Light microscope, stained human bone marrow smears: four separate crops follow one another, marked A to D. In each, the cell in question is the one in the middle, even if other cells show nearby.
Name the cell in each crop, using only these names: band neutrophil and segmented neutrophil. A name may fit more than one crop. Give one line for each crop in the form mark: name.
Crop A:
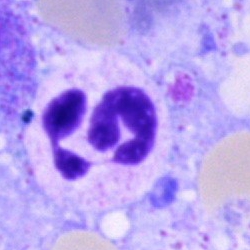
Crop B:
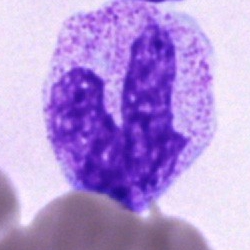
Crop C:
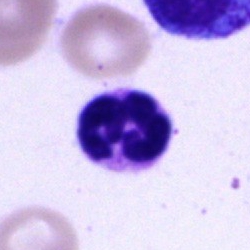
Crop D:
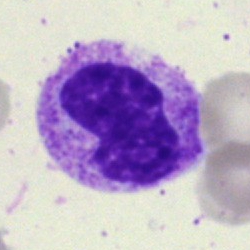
A: segmented neutrophil
B: band neutrophil
C: segmented neutrophil
D: band neutrophil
